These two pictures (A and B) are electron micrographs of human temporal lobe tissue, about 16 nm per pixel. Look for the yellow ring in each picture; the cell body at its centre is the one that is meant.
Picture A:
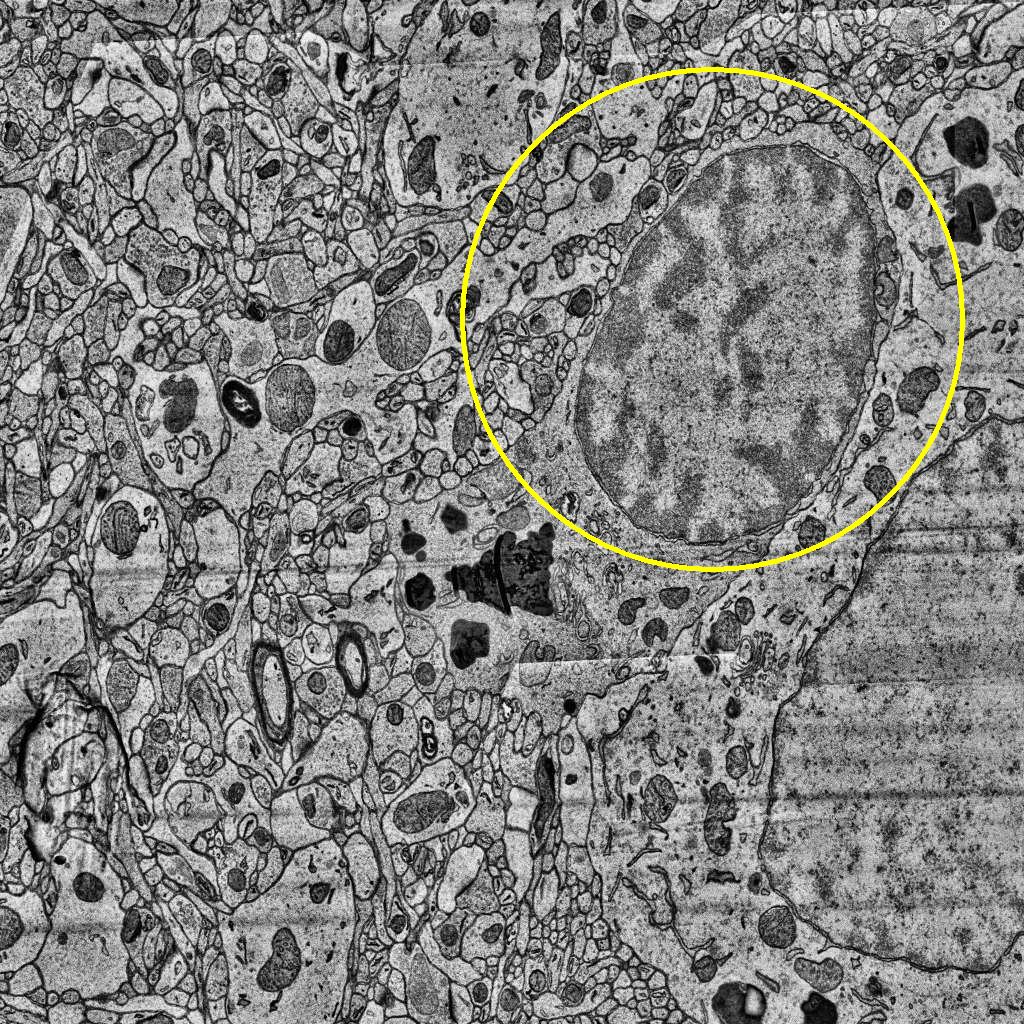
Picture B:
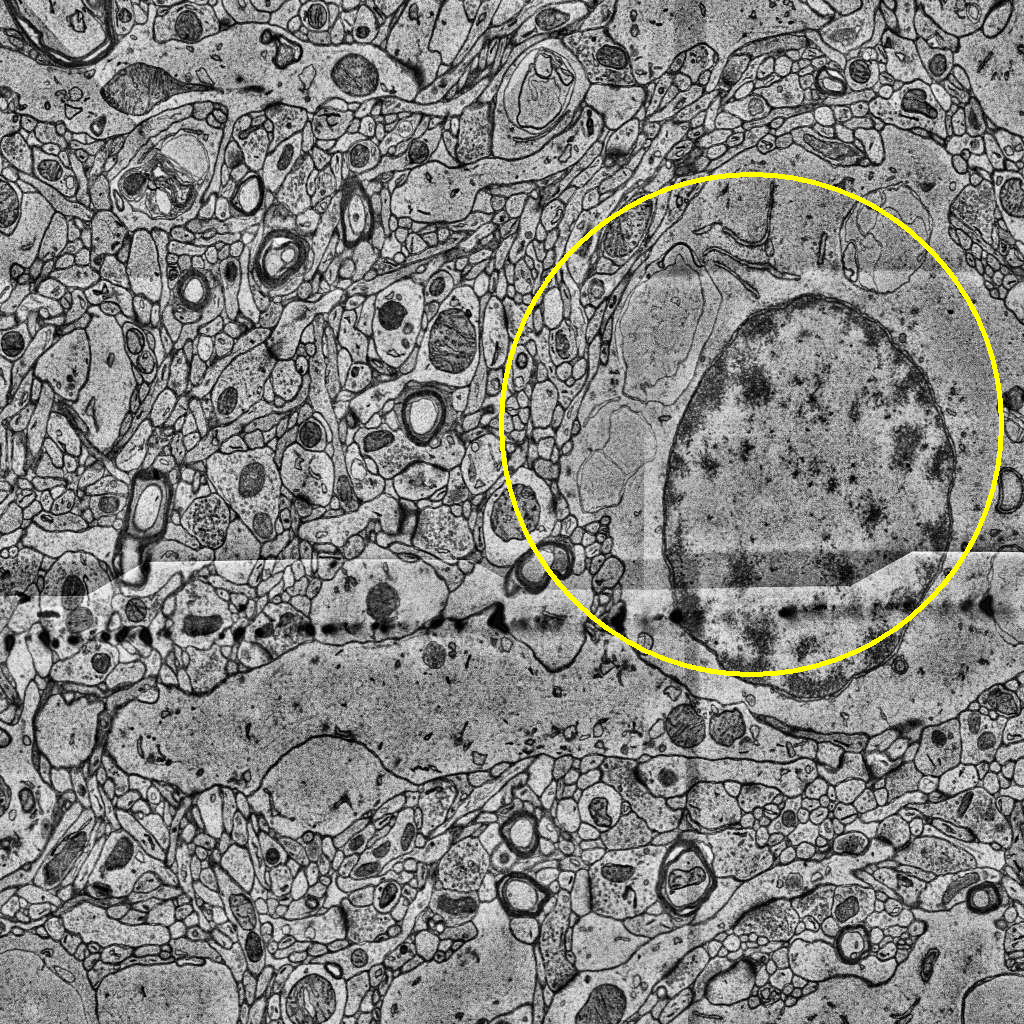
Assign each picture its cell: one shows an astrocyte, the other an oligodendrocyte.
Picture B shows an astrocyte, while picture A shows an oligodendrocyte.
